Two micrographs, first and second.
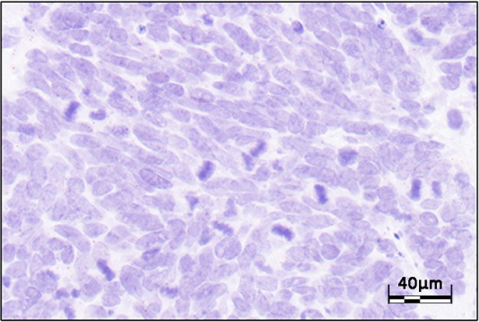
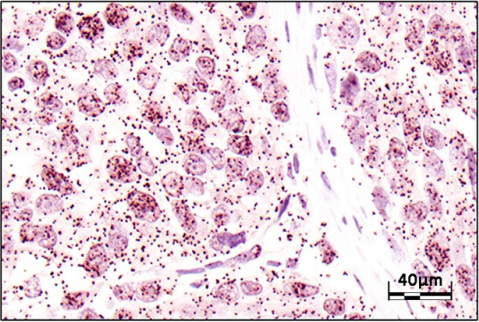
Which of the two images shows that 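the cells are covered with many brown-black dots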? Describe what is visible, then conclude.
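First image: densely packed blue nuclei with no brown dots at all. Second image: dense brown-black dots over the nuclei and cytoplasm of most cells. The answer: the second image.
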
